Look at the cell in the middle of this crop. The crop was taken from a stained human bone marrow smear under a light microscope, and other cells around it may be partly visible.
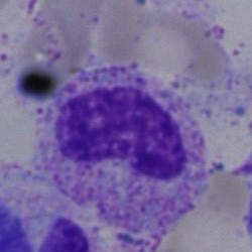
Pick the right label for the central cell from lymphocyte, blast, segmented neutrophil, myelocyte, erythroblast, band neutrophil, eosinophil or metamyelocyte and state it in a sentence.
As for the cell in the middle, it is a metamyelocyte.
